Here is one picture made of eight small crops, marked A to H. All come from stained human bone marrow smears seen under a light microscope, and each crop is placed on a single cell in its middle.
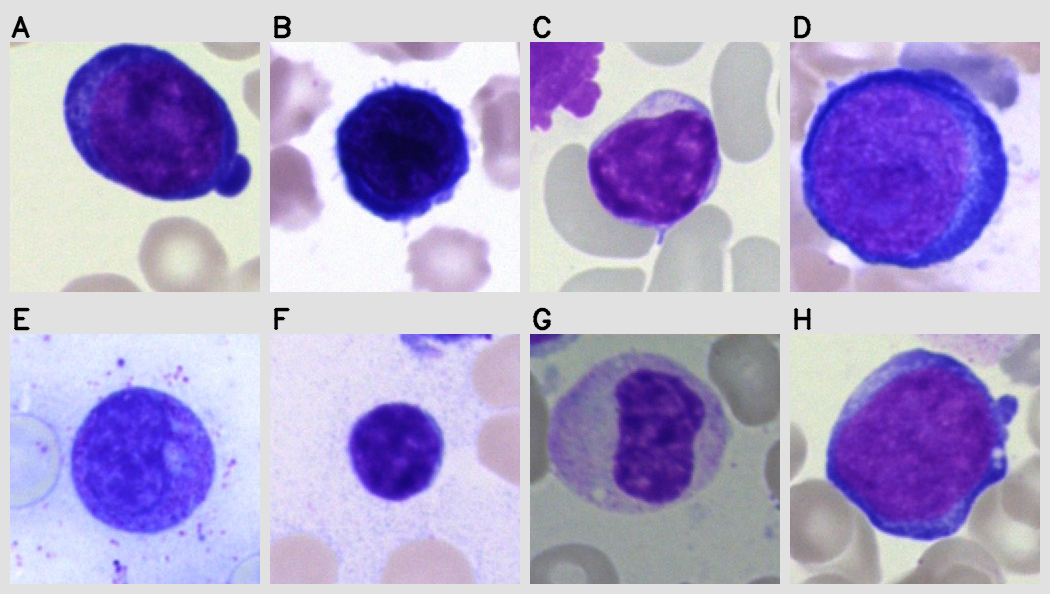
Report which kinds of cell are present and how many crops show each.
proerythroblast: 4
lymphocyte: 2
metamyelocyte: 2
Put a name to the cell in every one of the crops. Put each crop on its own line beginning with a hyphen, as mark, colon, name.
- A: proerythroblast
- B: proerythroblast
- C: lymphocyte
- D: proerythroblast
- E: metamyelocyte
- F: lymphocyte
- G: metamyelocyte
- H: proerythroblast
